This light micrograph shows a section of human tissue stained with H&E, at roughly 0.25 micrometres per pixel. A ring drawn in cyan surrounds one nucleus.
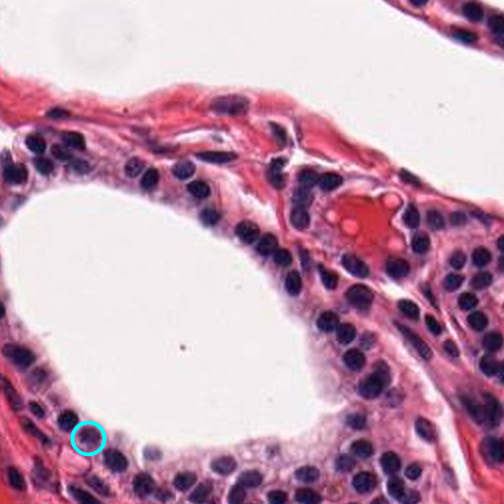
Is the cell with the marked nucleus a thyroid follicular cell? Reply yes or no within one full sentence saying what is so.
Yes, in this image it is a thyroid follicular cell that contains the marked nucleus.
